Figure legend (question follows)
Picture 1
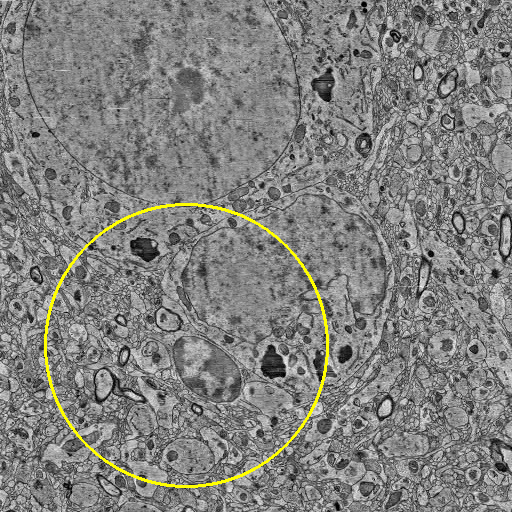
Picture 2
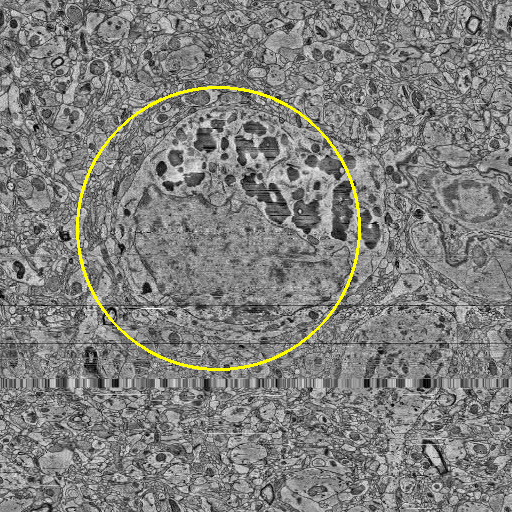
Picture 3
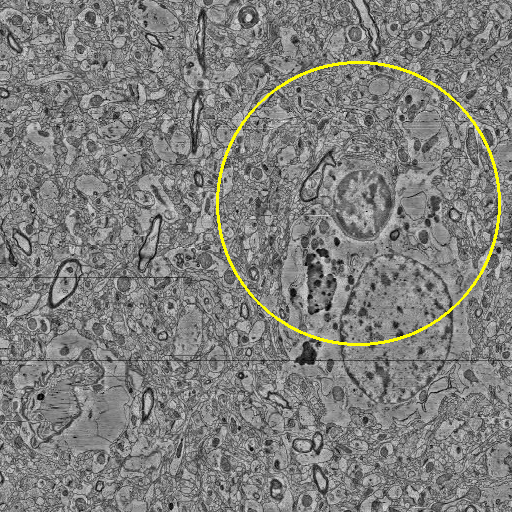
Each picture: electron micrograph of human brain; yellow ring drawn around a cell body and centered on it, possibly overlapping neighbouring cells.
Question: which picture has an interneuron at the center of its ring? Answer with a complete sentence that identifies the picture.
Picture 2 has it at the center of its ring.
